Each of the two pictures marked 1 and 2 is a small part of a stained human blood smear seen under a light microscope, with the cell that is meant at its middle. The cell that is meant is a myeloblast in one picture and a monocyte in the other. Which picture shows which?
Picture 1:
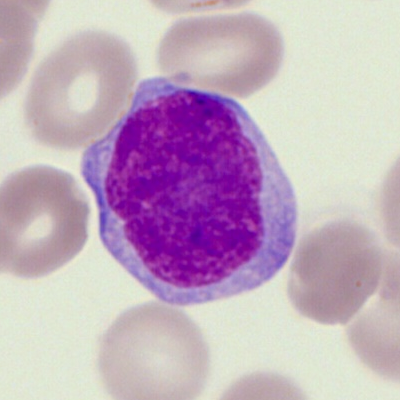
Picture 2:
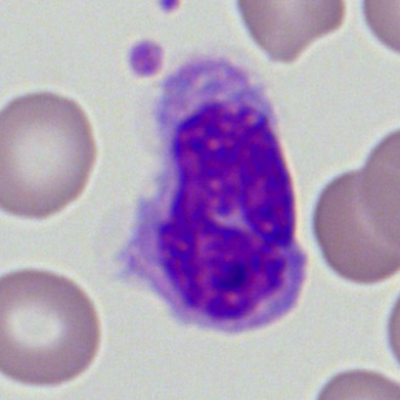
1: myeloblast
2: monocyte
